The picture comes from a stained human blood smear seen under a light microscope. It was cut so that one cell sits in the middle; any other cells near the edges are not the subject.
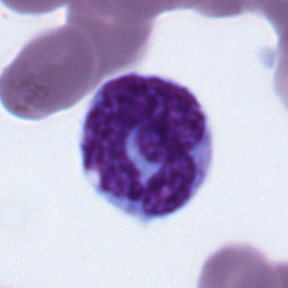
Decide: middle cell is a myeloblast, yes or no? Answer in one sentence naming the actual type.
No, the cell in the middle of the crop counts as a monocyte and not as a myeloblast.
